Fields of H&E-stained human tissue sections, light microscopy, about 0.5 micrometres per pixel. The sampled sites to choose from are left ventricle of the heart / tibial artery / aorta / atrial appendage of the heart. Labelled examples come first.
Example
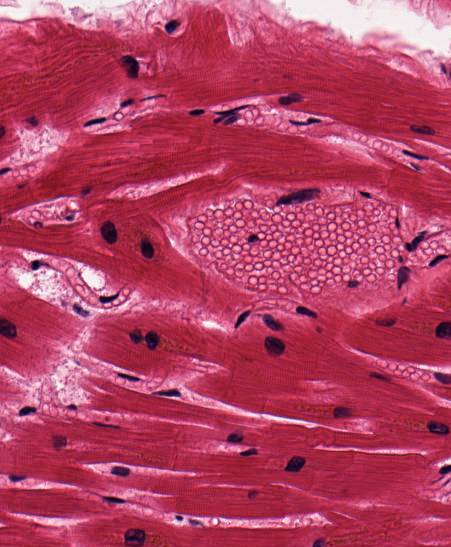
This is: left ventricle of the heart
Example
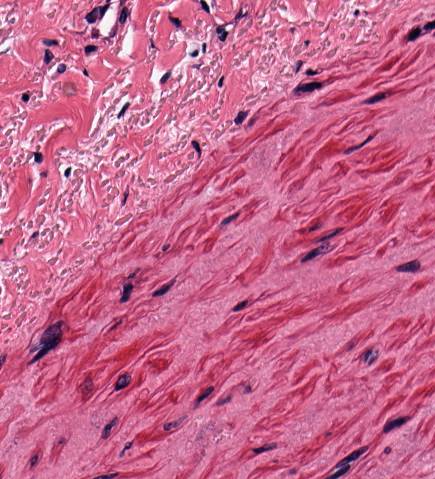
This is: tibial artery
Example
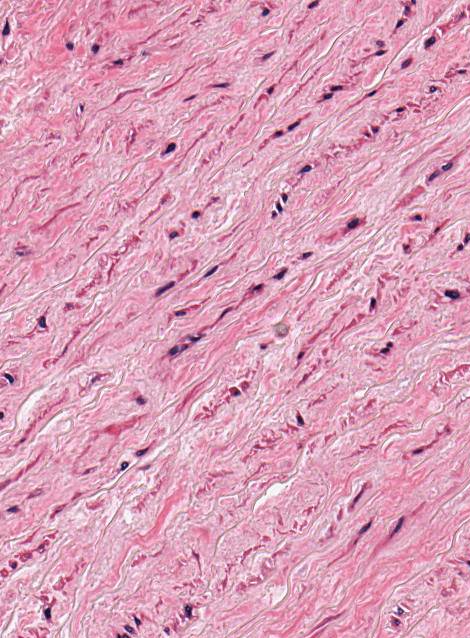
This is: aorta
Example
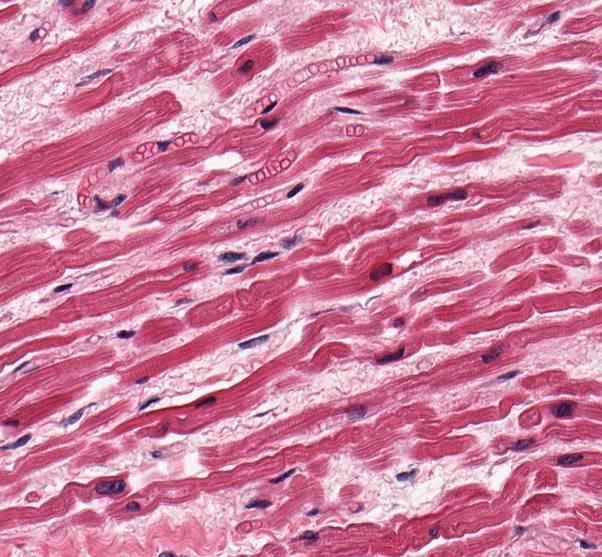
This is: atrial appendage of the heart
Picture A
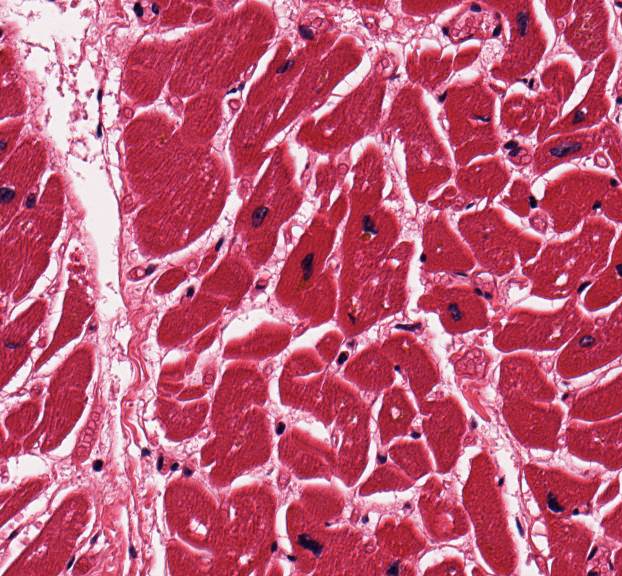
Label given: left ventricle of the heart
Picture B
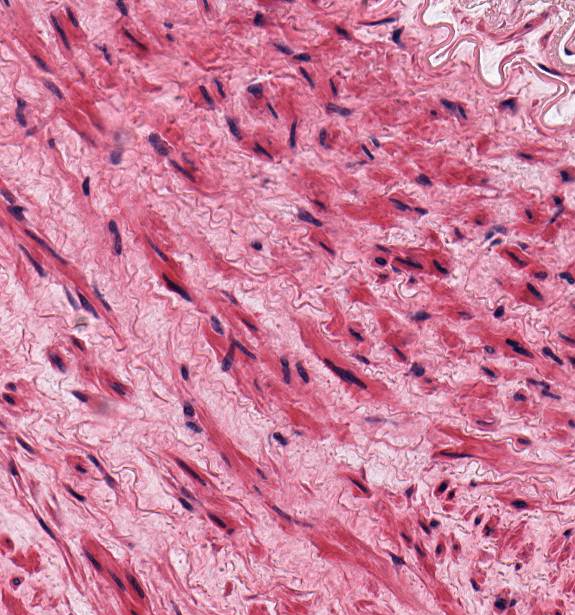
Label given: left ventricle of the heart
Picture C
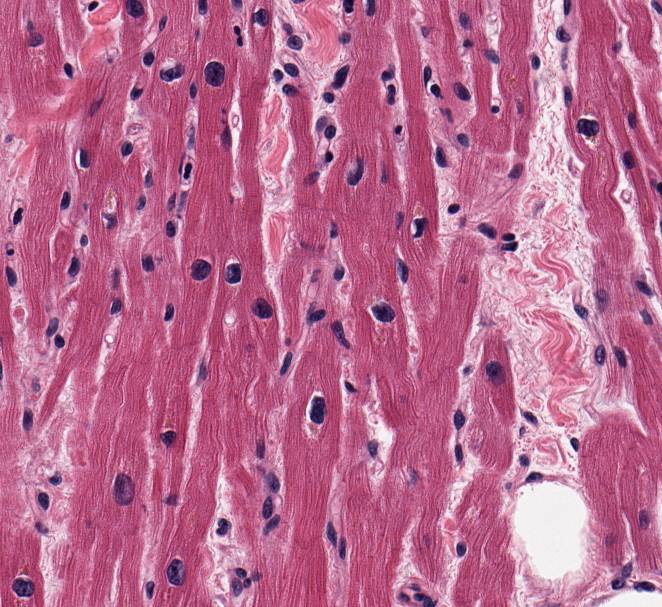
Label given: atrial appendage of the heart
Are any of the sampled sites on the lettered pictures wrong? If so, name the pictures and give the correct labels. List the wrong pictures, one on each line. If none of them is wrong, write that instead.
B: not left ventricle of the heart but tibial artery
